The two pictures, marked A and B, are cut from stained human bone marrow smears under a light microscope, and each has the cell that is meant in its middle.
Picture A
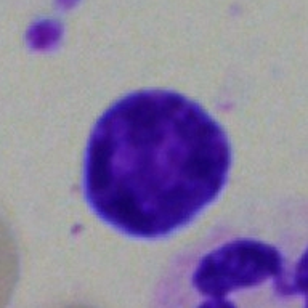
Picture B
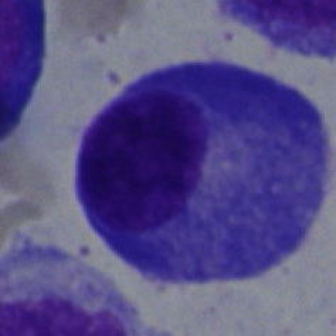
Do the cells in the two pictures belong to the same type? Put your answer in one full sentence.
No, the types are not the same, since picture A shows a lymphocyte and picture B a plasma cell.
